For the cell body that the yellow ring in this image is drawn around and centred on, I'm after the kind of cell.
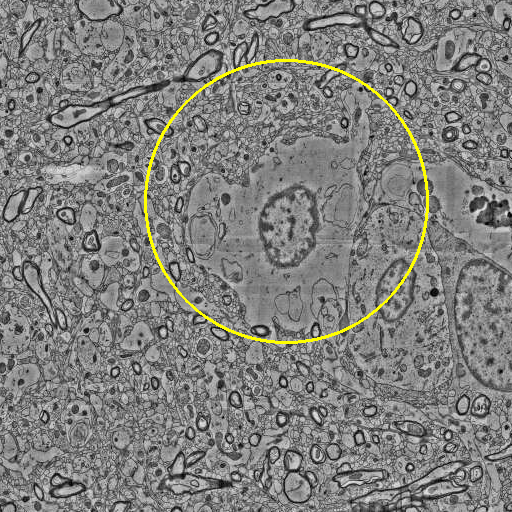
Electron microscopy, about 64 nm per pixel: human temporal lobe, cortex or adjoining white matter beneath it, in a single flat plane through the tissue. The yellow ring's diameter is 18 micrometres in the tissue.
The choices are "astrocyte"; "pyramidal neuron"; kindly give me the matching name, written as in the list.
astrocyte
